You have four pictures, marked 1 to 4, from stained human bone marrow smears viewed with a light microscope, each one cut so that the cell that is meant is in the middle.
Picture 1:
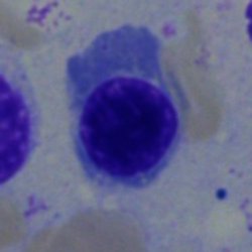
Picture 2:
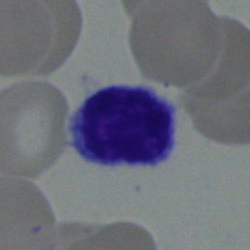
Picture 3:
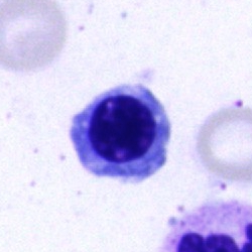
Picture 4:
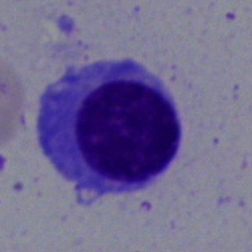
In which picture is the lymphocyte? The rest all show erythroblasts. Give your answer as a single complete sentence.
Picture 2 is the one that shows the lymphocyte.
